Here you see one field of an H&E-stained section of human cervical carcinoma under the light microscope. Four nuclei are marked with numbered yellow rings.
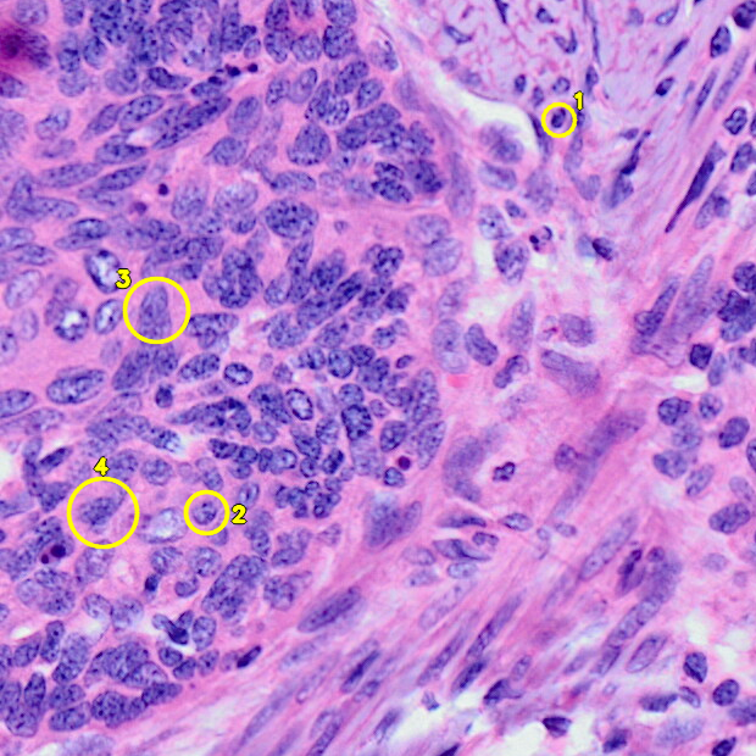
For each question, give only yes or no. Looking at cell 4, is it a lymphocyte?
no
